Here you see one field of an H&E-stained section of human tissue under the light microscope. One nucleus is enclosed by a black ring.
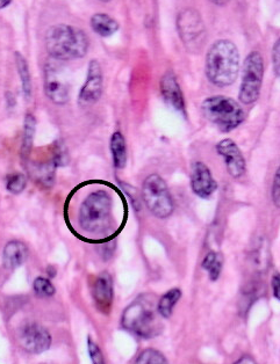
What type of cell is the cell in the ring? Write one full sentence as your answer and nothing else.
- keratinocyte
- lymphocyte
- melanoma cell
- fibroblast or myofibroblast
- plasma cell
The cell type represented by the cell in the ring is that of a melanoma cell.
